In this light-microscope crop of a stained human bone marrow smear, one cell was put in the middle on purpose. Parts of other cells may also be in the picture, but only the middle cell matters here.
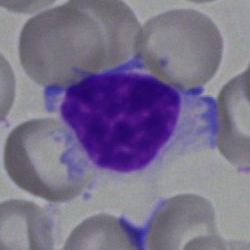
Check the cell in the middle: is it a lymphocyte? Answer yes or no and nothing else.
yes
